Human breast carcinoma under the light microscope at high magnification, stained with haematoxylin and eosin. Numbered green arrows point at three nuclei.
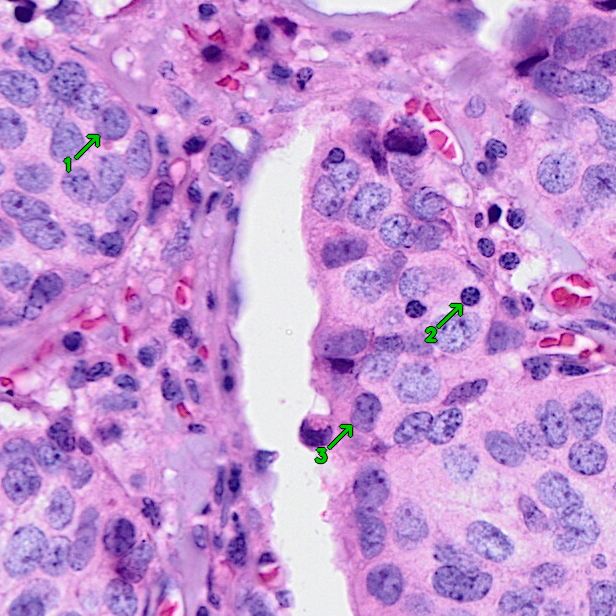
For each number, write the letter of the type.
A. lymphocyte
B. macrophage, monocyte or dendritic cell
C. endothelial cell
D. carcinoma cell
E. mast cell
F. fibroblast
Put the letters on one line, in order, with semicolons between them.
D; A; D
